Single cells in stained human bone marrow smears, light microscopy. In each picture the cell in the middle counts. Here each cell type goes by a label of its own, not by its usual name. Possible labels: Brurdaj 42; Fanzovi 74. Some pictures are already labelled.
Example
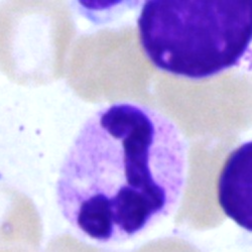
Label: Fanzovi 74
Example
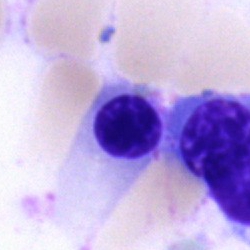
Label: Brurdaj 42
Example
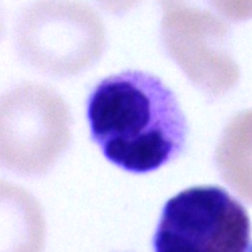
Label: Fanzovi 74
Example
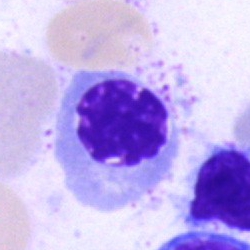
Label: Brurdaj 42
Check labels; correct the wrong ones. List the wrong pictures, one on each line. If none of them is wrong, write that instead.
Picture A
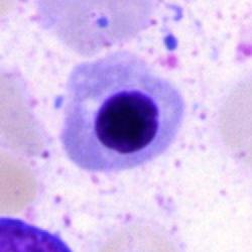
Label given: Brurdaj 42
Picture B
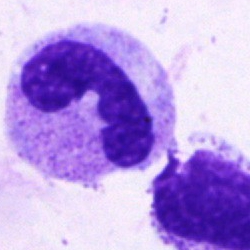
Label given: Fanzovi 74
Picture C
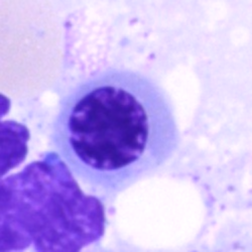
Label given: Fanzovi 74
Wrong: C (Fanzovi 74); correct: Brurdaj 42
